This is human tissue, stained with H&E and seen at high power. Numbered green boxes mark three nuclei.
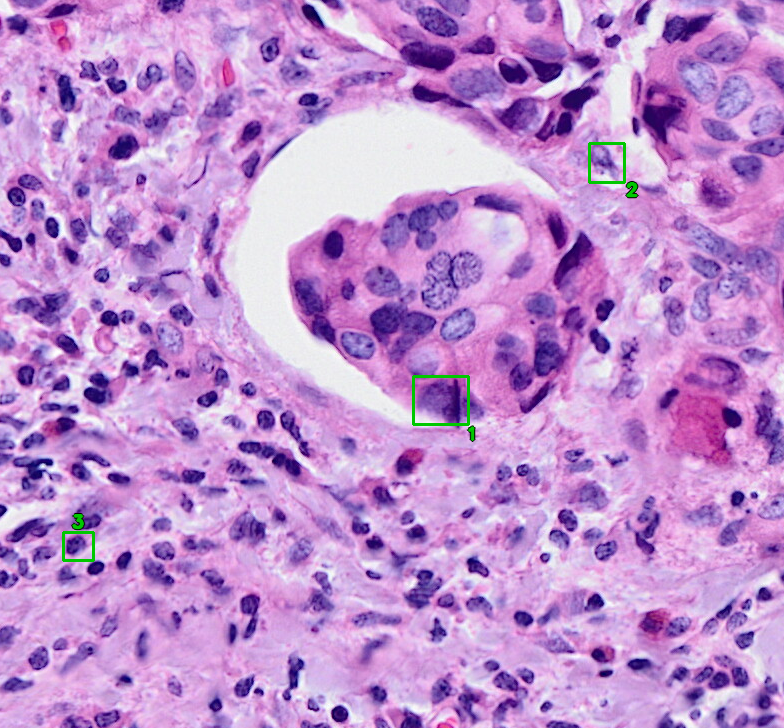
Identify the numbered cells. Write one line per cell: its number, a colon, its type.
1: carcinoma cell
2: fibroblast
3: lymphocyte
